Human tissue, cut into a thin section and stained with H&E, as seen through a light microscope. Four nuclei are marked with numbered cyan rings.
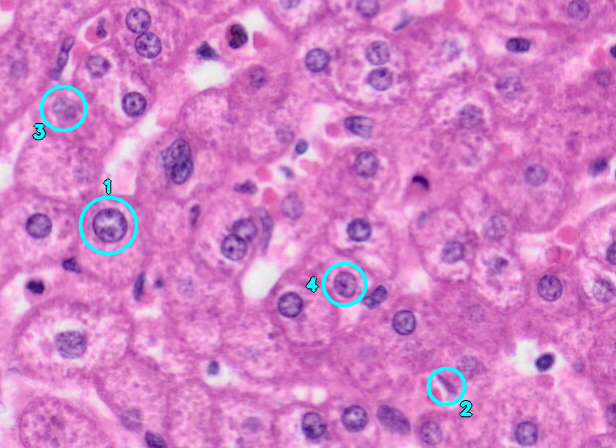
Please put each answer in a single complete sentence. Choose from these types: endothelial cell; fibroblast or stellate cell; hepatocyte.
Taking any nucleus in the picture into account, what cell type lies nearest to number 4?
Closest to number 4 lies the nucleus of a fibroblast or stellate cell.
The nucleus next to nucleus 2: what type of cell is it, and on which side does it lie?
A hepatocyte lies closest, above and to the right of nucleus 2.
